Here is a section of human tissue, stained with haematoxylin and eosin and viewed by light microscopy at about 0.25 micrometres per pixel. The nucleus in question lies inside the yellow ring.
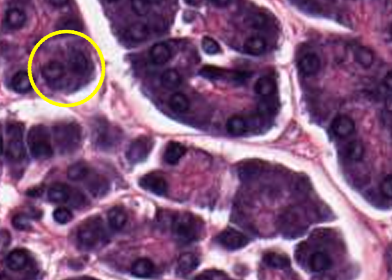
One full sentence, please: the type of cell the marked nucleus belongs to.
Belonging to a pancreatic acinar cell is the marked nucleus.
